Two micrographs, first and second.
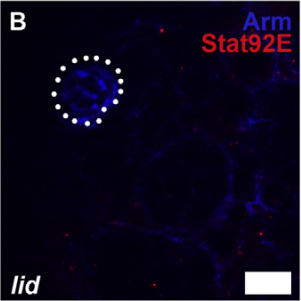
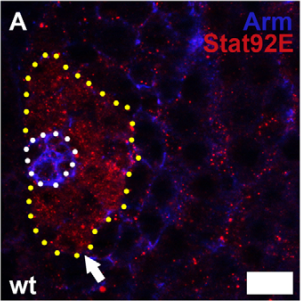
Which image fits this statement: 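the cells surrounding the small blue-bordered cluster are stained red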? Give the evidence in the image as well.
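First image: the cells around the circled cluster show almost no red staining. Second image: a broad zone of cells around the circled cluster is stained red.
Conclusion: the second image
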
